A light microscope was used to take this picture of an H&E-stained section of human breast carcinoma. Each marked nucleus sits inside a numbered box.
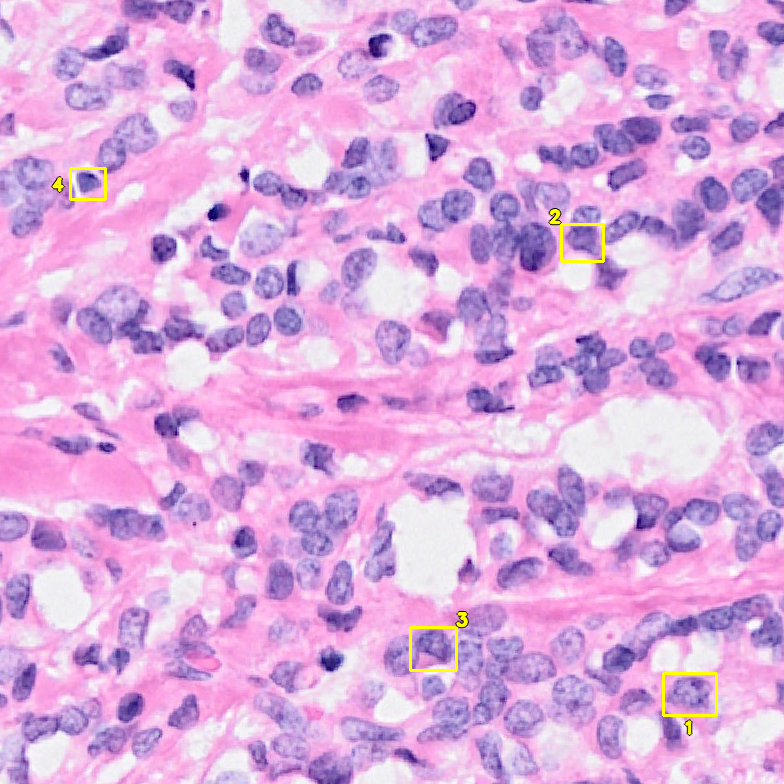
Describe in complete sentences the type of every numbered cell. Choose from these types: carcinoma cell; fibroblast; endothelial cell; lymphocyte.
Cell 1 is a carcinoma cell, cell 2 is a carcinoma cell, cell 3 is a carcinoma cell and cell 4 is a lymphocyte.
